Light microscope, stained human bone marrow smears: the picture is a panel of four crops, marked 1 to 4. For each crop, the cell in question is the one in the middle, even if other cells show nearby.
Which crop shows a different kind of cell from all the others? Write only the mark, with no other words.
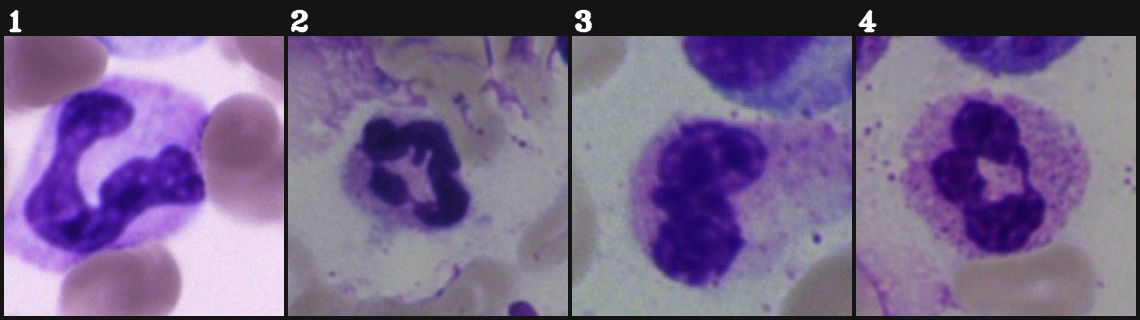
1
